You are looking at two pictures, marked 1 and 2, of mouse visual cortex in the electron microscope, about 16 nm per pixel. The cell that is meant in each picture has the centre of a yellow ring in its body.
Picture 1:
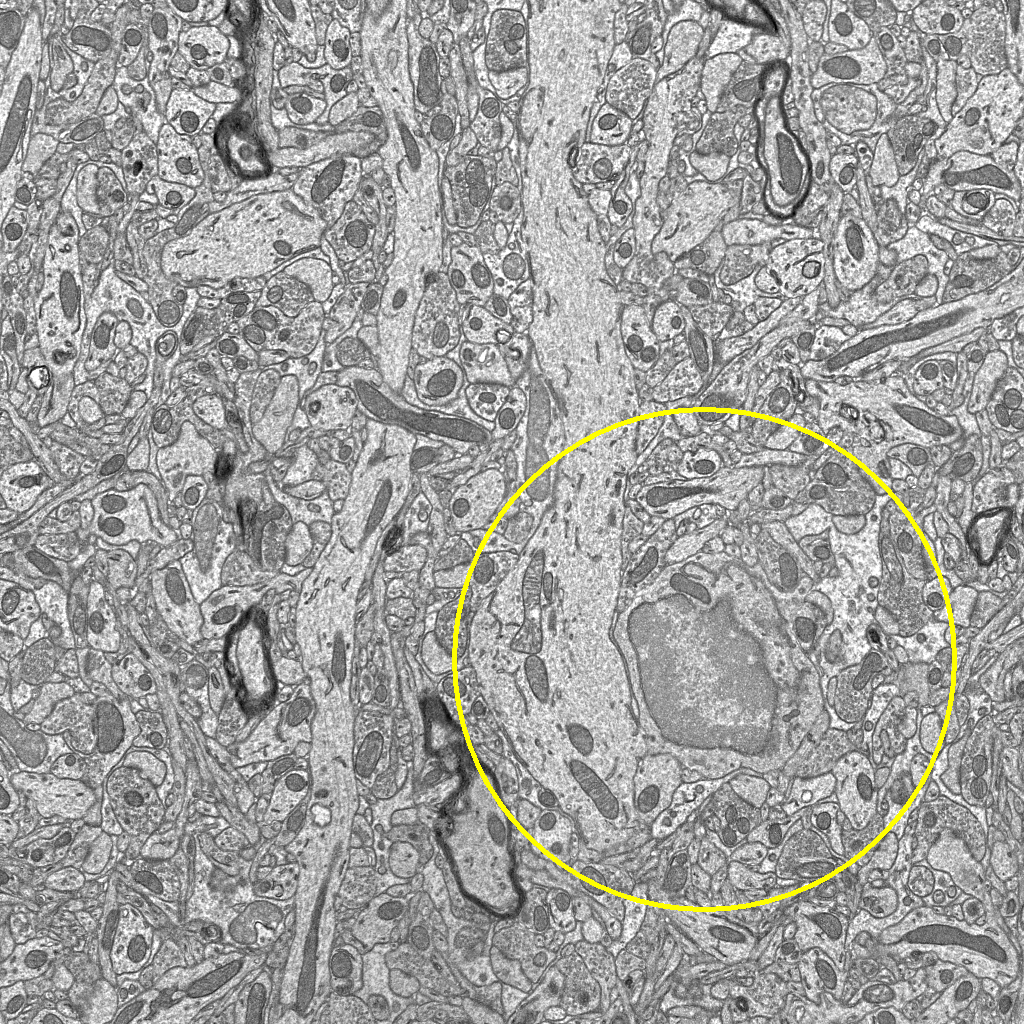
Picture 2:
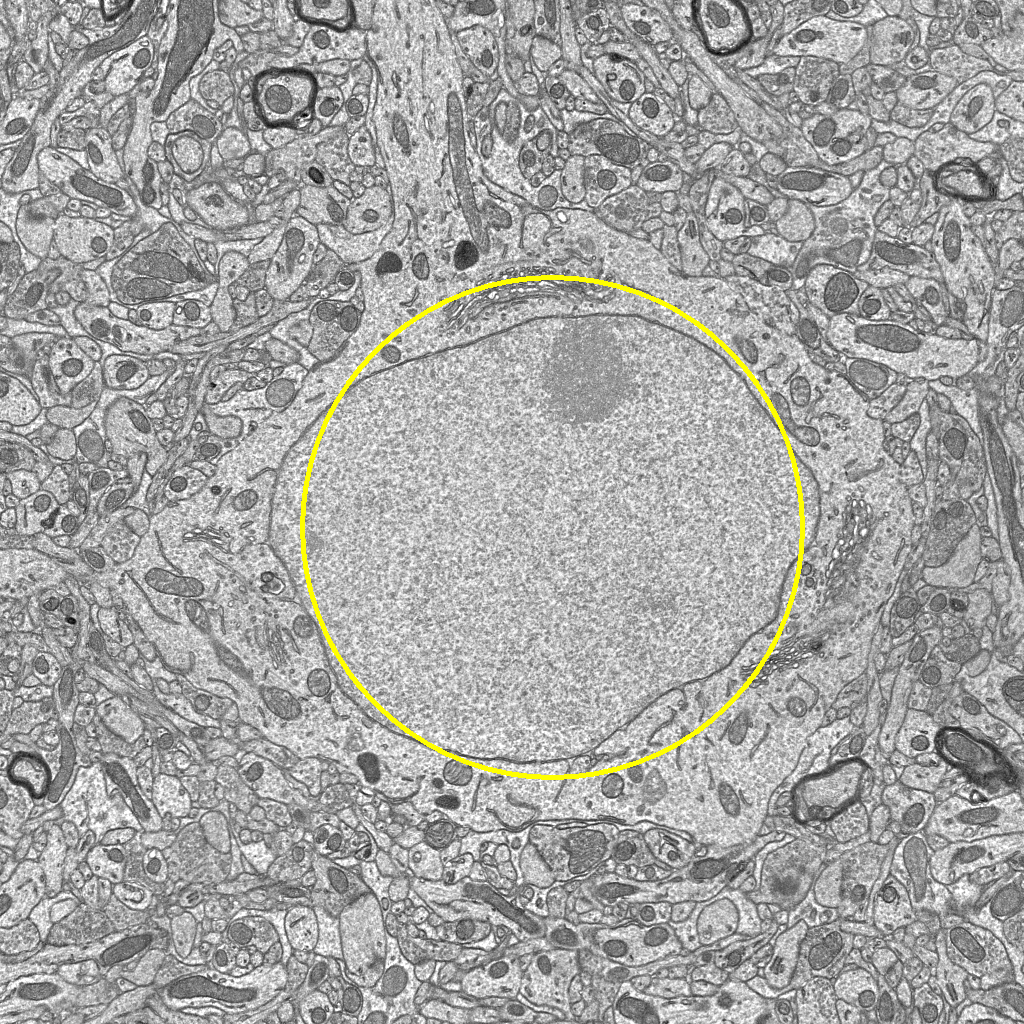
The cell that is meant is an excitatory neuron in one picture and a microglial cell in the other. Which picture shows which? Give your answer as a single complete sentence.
The cell in picture 1 is a microglial cell, and the one in picture 2 is an excitatory neuron.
